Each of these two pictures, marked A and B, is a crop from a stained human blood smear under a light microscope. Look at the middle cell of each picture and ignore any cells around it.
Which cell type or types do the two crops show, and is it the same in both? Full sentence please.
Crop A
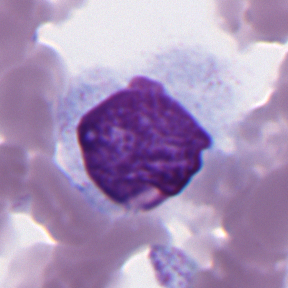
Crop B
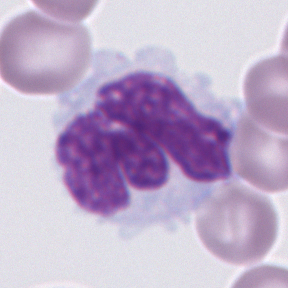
Yes, both of the crops show monocytes.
